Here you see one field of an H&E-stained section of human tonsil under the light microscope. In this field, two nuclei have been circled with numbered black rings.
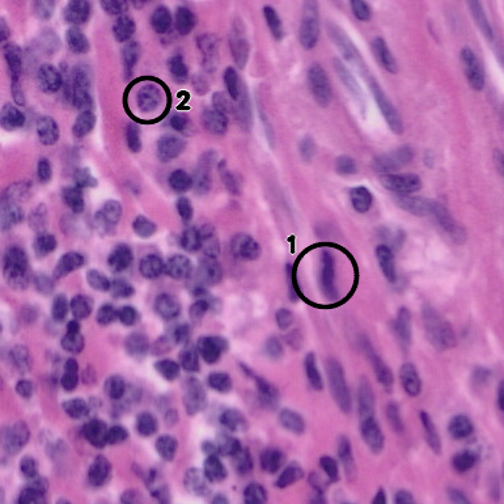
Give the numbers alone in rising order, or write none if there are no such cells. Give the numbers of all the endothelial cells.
1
